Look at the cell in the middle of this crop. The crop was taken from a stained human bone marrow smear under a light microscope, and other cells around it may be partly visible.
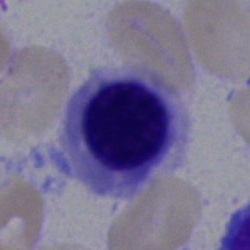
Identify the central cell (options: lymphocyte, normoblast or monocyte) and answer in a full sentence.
The middle of this crop is occupied by a normoblast.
